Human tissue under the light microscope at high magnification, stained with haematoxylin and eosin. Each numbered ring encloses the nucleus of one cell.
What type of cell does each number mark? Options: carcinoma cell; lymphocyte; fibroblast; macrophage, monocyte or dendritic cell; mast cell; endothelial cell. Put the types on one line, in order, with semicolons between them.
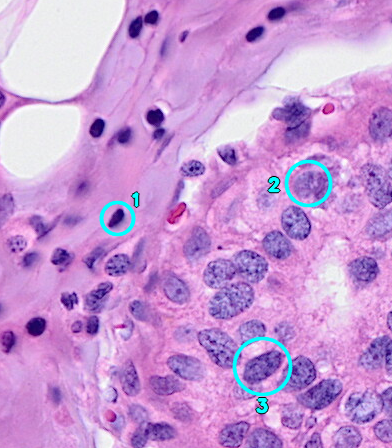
lymphocyte; carcinoma cell; carcinoma cell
